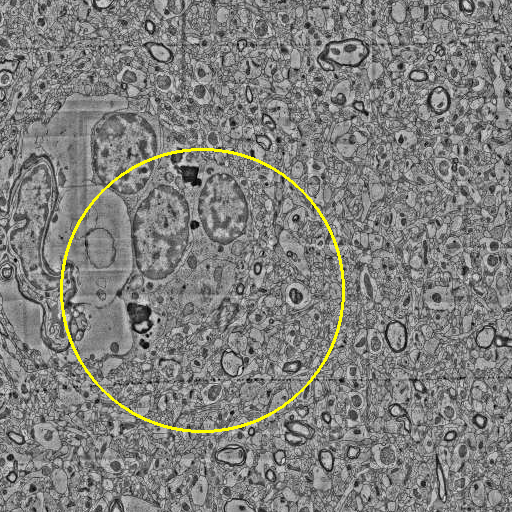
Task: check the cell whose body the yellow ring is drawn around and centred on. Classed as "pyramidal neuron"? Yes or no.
No, it belongs to another class.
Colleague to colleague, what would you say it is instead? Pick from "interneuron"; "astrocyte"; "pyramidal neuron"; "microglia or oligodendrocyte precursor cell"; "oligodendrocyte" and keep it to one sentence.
Instead, the ringed cell here is an oligodendrocyte.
